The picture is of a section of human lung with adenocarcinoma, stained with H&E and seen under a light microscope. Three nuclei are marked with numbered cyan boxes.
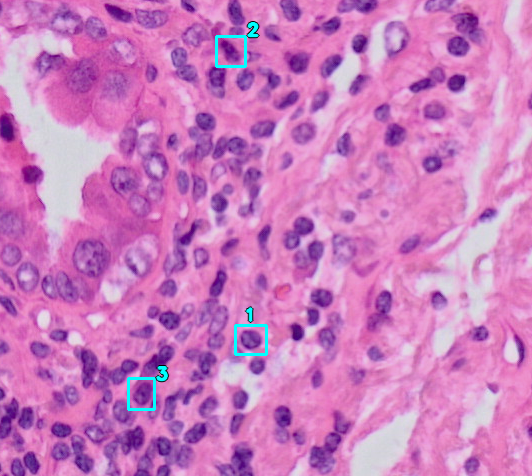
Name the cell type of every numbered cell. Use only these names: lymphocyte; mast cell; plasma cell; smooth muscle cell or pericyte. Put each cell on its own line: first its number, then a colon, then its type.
1: lymphocyte
2: plasma cell
3: plasma cell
